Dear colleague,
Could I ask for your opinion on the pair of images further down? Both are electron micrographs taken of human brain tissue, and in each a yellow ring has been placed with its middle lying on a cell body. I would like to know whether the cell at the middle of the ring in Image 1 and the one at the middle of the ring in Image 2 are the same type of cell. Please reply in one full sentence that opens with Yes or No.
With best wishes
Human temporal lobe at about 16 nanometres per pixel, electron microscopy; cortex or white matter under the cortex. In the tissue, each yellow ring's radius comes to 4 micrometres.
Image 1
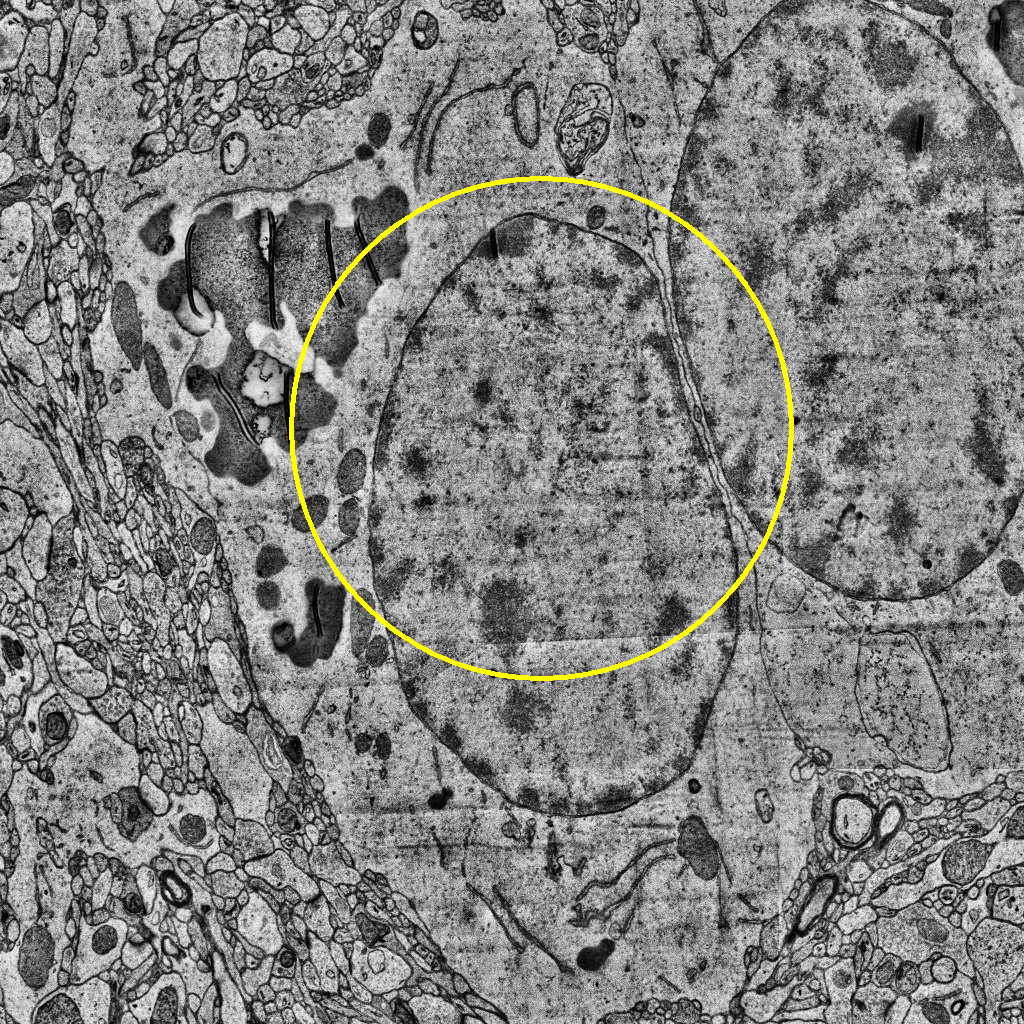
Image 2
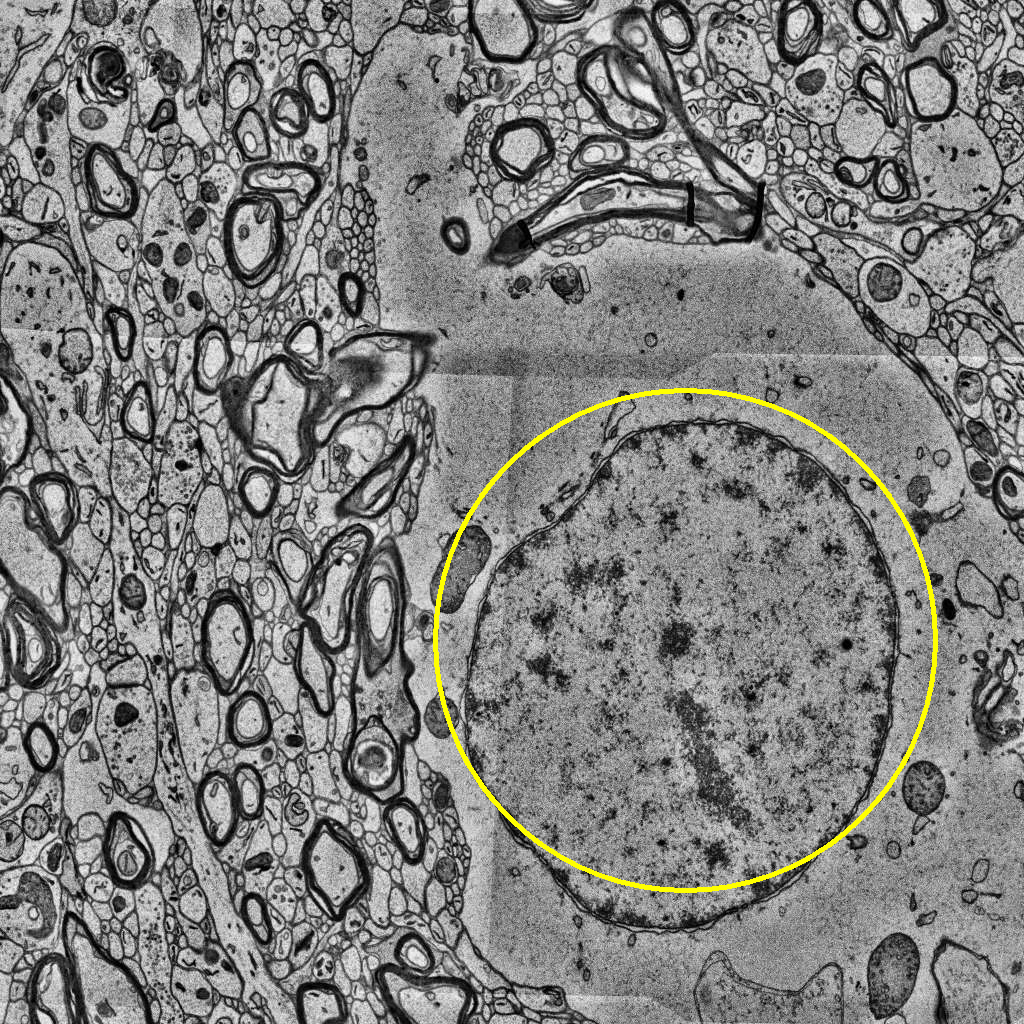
Yes, the cells at the ring centres in Image 1 and Image 2 are of one type.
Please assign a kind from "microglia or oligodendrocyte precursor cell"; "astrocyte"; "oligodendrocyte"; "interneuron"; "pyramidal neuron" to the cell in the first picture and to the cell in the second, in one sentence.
The second cell is an astrocyte, just as the first is.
